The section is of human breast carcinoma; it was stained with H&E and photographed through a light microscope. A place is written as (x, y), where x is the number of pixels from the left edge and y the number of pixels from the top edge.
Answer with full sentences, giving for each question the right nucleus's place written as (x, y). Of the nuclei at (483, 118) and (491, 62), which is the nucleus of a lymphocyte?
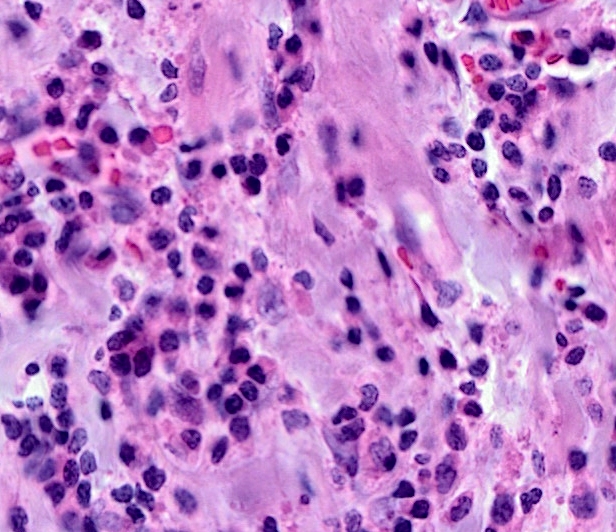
Answering which nucleus it is: the one at (483, 118), belonging to a lymphocyte.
